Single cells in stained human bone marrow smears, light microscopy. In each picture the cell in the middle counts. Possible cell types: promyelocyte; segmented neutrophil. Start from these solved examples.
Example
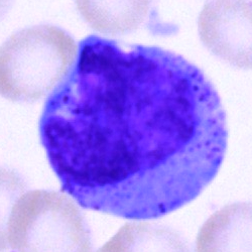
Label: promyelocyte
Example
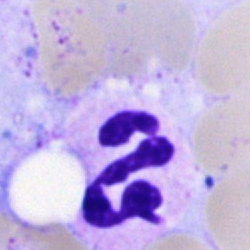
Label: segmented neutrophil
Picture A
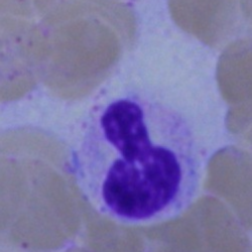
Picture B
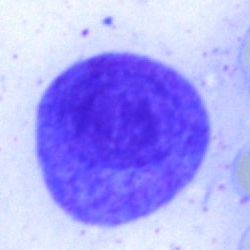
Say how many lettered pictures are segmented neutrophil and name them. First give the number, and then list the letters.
1, namely A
